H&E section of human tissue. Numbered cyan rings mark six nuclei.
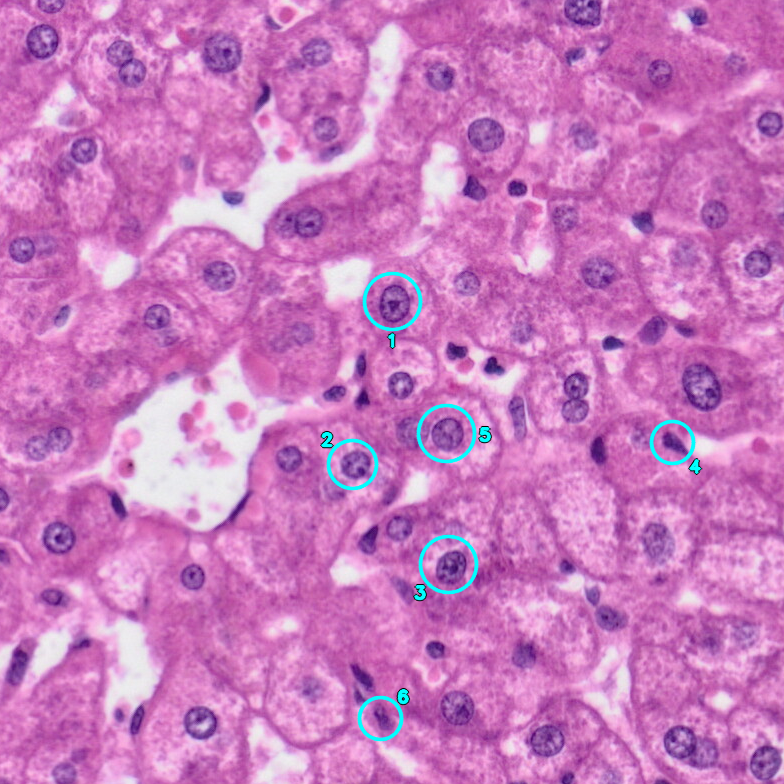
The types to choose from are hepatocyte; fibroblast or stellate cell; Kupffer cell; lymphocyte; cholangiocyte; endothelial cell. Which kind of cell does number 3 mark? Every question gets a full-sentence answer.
The expected answer is that cell 3 is a hepatocyte.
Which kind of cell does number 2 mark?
In this section, the cell tagged 2 is a hepatocyte.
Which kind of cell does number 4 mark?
The nucleus labeled 4 belongs to a fibroblast or stellate cell.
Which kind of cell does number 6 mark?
The cell numbered 6 represents a Kupffer cell.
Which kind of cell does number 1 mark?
Cell 1 in the field is a hepatocyte.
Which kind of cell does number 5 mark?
The cell bearing label 5 corresponds to a hepatocyte.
